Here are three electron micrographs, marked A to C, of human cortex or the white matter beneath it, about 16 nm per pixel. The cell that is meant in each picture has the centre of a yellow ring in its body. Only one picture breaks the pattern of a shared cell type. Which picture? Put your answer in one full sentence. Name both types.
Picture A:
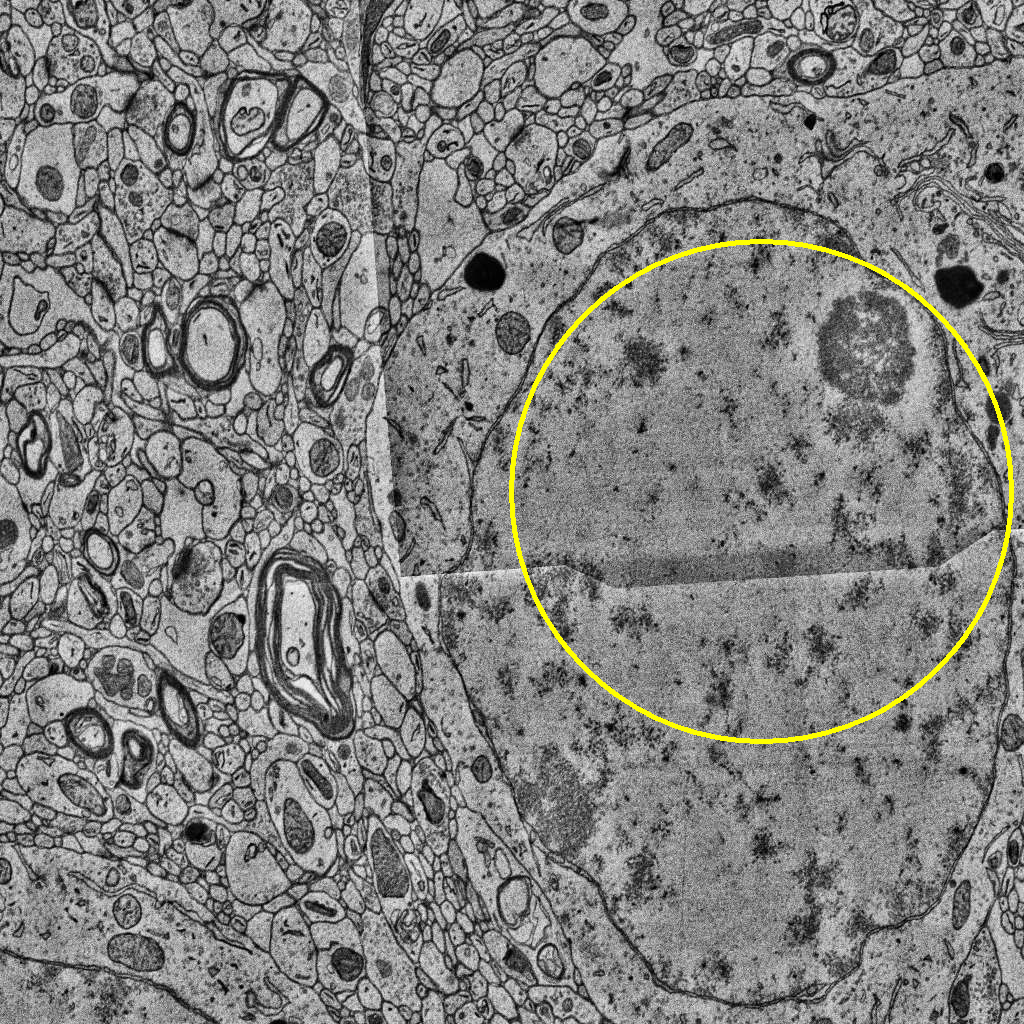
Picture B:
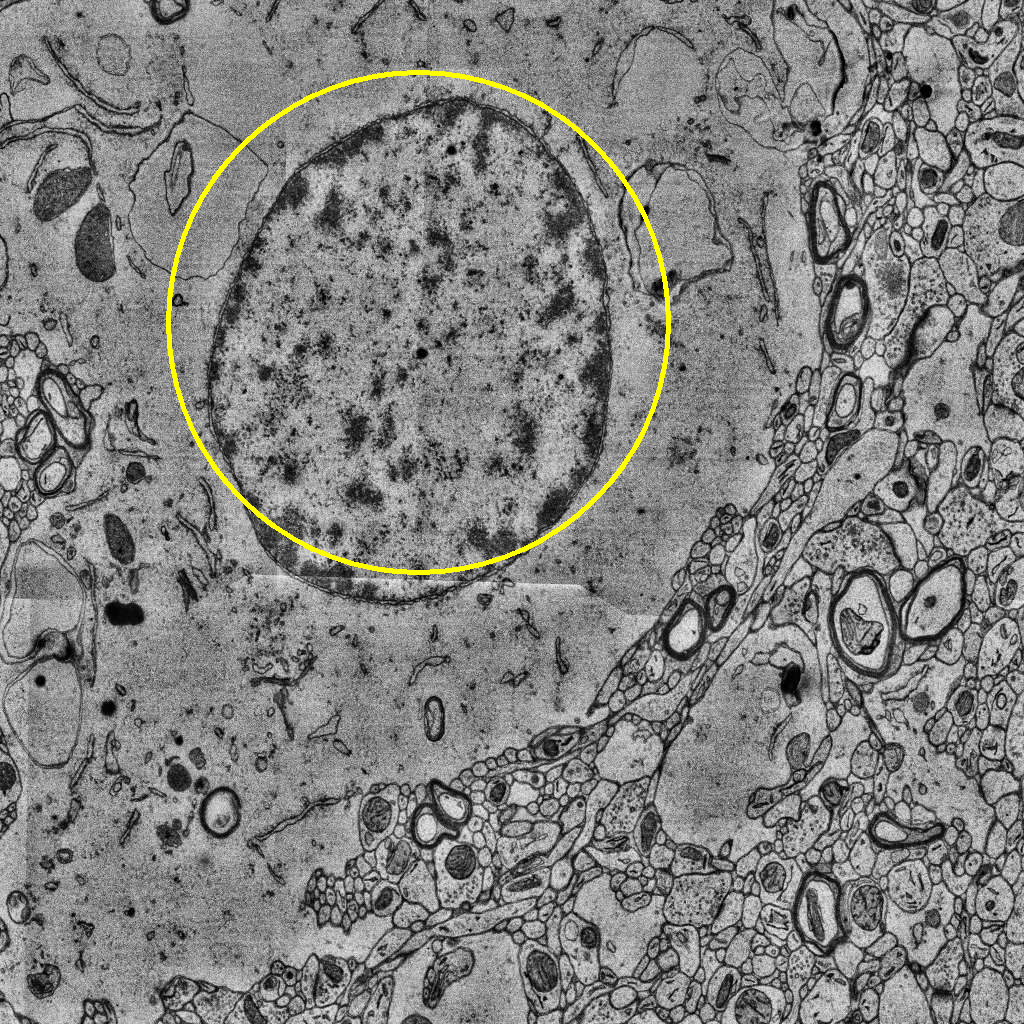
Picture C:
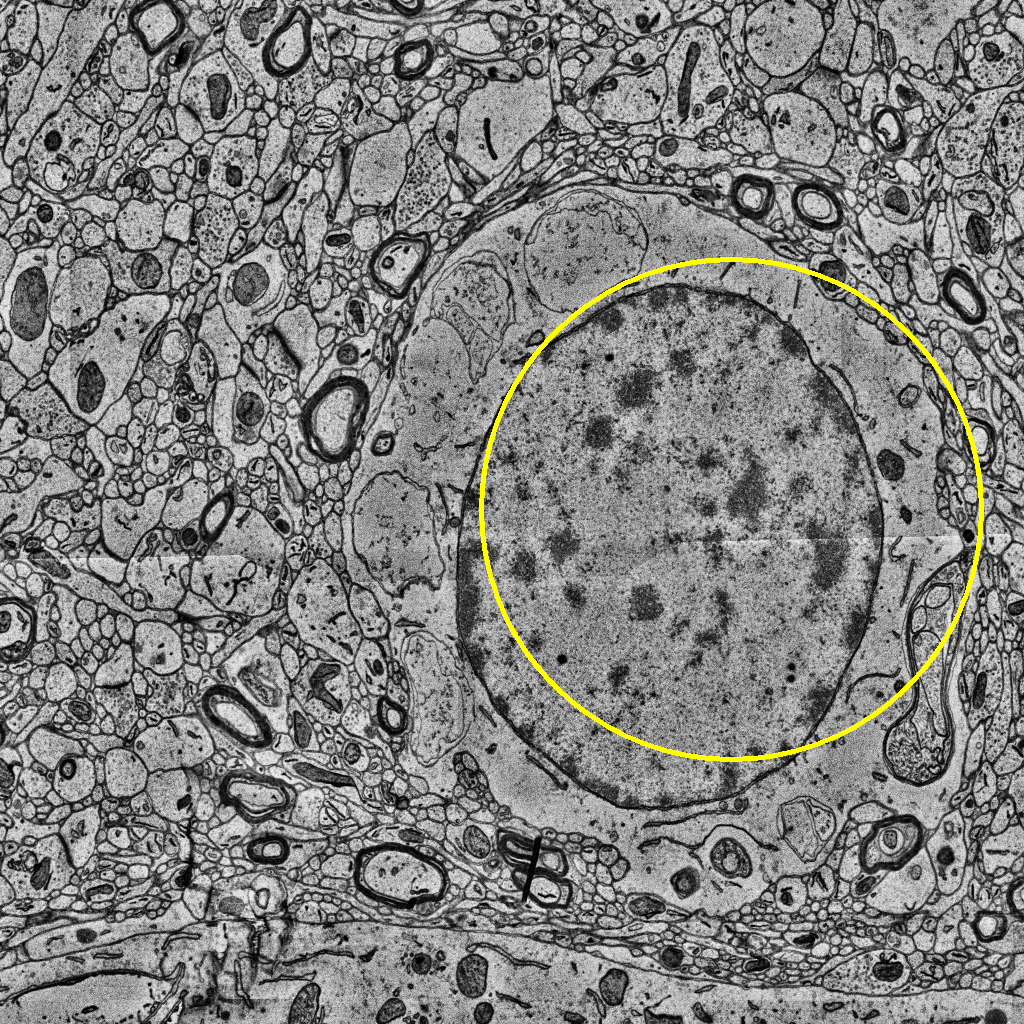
Unlike the rest, which show astrocytes, picture A shows a pyramidal neuron.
